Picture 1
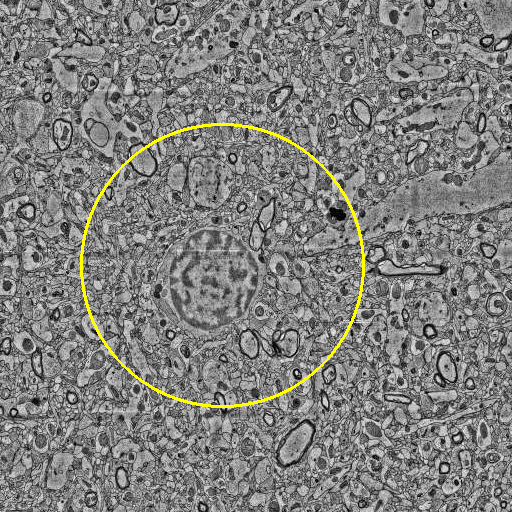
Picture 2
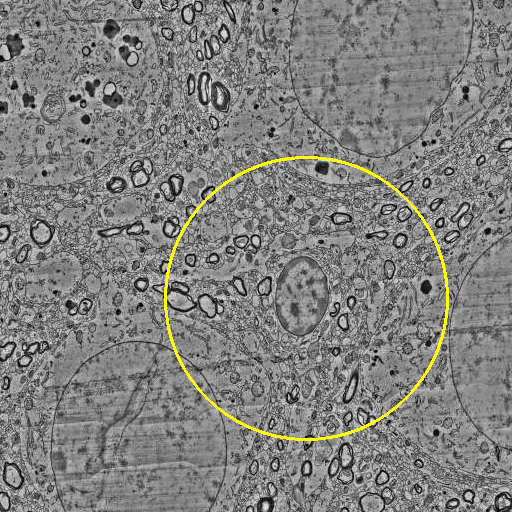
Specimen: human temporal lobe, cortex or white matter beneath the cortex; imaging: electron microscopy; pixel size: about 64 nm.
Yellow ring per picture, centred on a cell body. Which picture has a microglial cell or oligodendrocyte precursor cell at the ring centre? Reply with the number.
2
